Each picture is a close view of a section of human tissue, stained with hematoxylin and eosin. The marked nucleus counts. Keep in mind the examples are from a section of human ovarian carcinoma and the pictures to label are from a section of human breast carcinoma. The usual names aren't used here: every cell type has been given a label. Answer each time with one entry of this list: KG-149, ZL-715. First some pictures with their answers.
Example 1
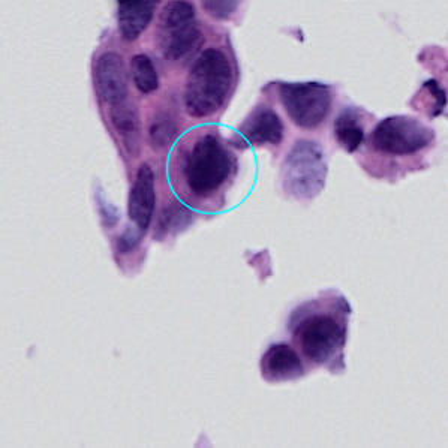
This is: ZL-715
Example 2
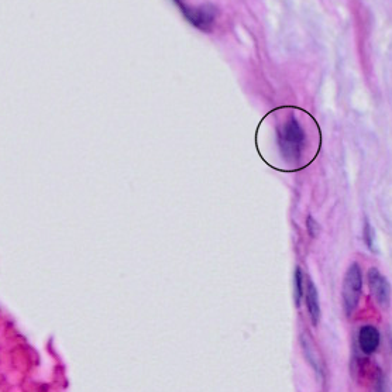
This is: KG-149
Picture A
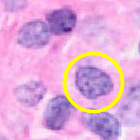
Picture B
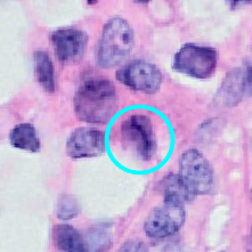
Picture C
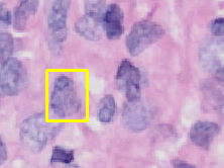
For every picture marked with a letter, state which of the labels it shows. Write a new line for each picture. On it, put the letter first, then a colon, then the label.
A: ZL-715
B: ZL-715
C: ZL-715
